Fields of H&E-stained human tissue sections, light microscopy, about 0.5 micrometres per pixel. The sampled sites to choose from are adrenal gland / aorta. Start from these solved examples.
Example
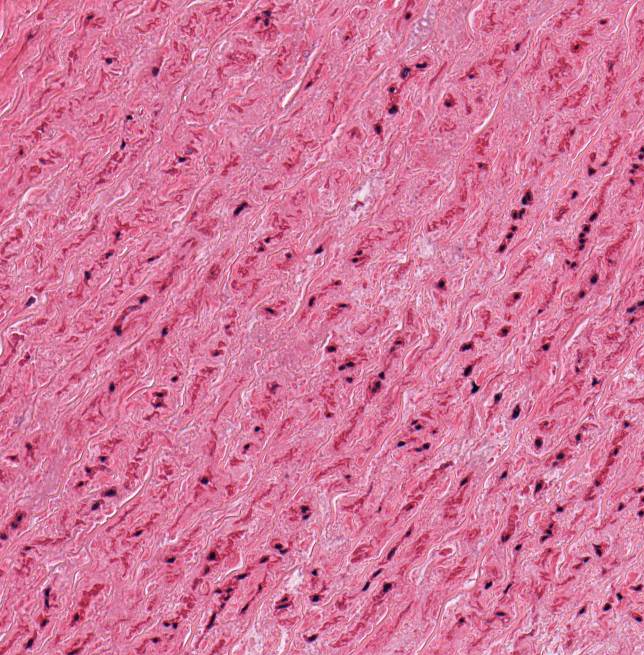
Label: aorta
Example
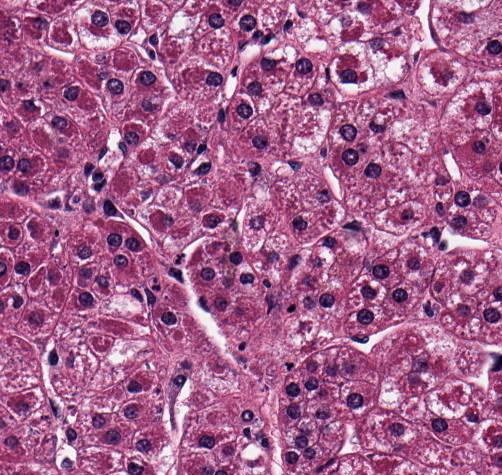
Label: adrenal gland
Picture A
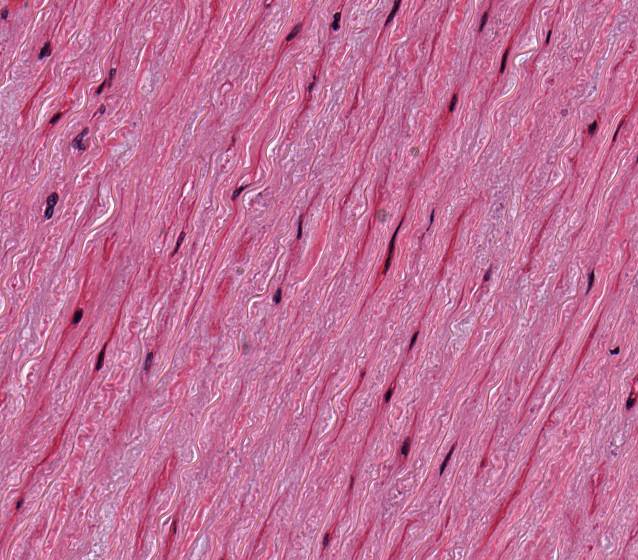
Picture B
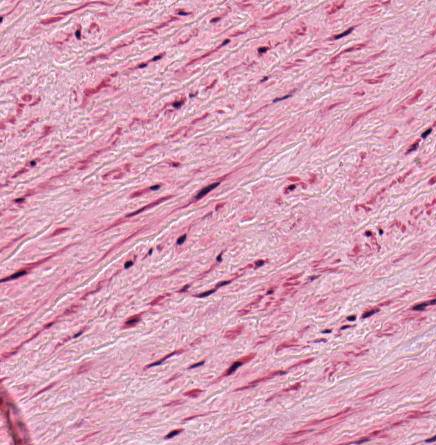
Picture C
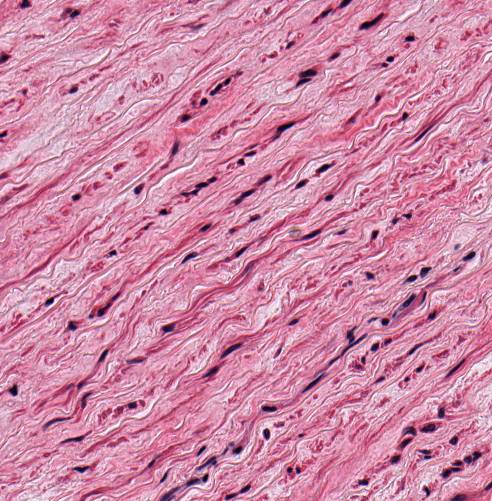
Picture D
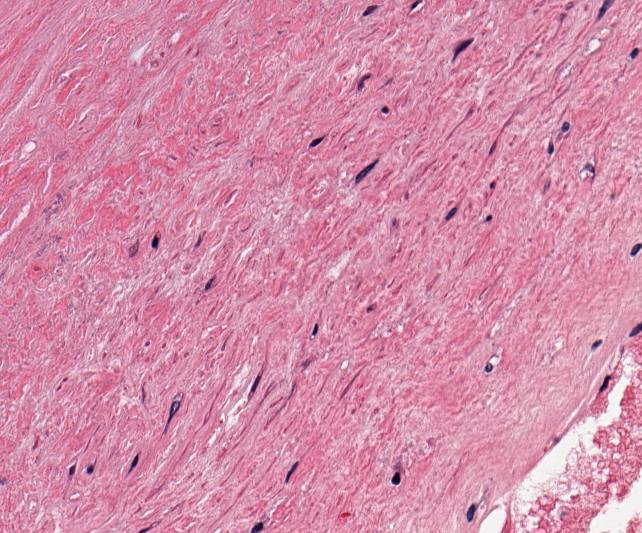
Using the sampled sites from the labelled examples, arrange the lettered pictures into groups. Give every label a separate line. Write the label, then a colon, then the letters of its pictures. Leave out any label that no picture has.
aorta: A, B, C, D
